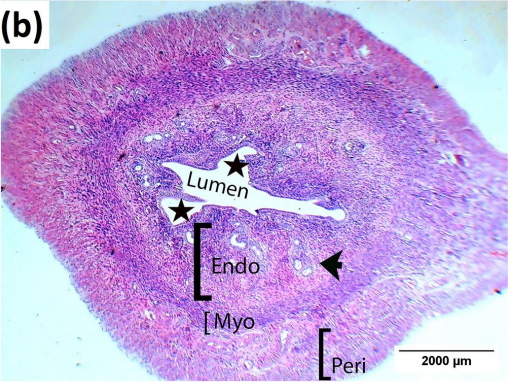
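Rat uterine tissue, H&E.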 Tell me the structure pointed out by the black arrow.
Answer: Endometrial gland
